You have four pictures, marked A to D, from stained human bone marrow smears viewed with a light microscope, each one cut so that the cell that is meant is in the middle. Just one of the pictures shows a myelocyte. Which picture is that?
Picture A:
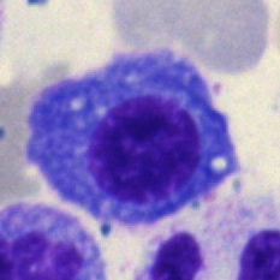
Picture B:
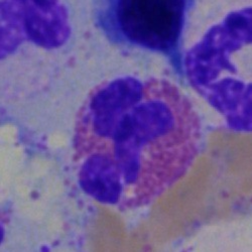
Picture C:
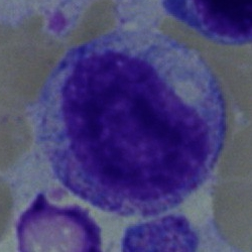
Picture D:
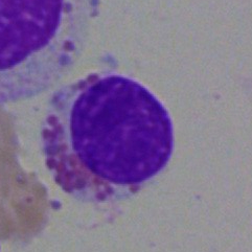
C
